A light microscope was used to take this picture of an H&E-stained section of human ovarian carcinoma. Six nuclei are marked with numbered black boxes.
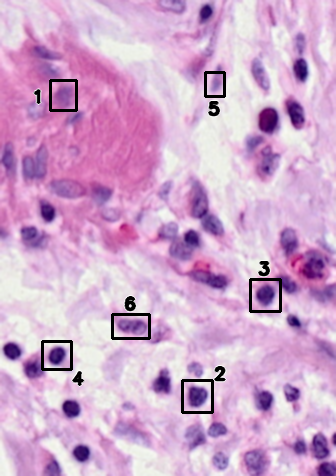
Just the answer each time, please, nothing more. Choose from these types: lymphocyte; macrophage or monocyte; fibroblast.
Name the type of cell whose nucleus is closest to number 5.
macrophage or monocyte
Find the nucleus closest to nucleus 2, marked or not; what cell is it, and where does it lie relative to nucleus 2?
a lymphocyte, above nucleus 2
